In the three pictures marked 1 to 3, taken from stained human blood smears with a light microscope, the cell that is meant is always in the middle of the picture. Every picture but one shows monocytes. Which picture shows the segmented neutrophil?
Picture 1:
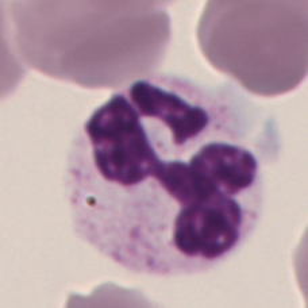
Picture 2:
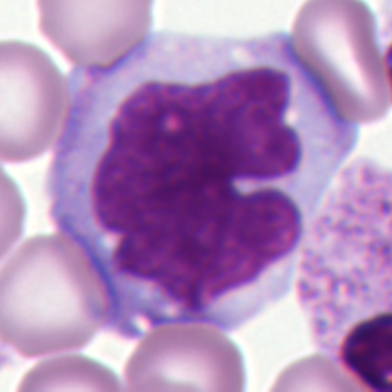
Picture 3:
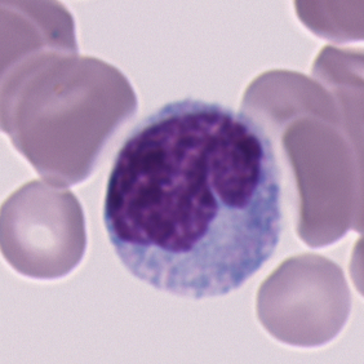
1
